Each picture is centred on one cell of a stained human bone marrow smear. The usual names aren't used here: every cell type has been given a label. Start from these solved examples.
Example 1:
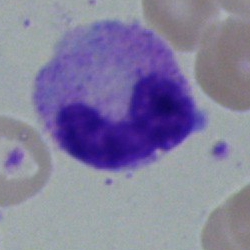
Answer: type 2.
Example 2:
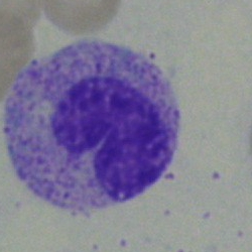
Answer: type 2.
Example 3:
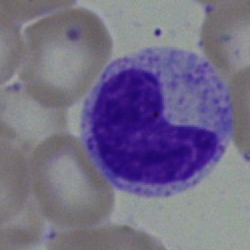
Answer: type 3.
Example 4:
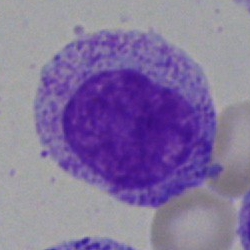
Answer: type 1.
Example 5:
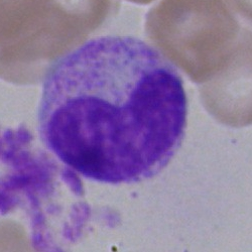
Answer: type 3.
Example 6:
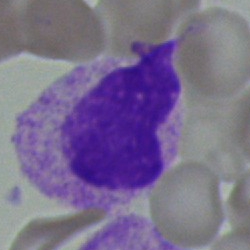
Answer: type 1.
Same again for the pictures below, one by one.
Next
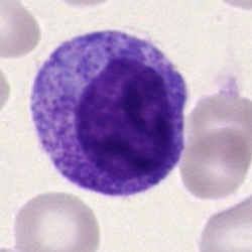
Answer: type 1.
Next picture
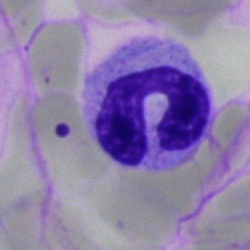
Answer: type 2.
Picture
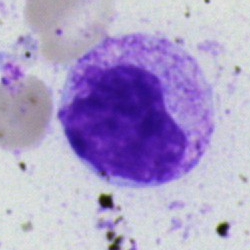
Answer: type 3.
